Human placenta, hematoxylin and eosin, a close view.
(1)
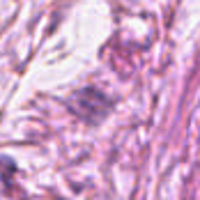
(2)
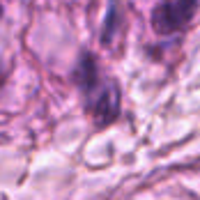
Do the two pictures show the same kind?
Yes, both are vascular myocytes.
